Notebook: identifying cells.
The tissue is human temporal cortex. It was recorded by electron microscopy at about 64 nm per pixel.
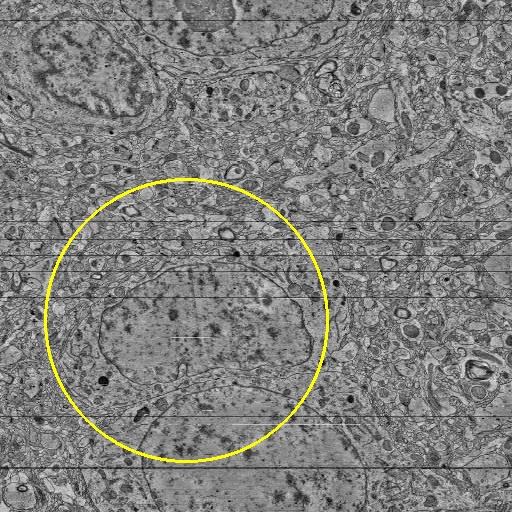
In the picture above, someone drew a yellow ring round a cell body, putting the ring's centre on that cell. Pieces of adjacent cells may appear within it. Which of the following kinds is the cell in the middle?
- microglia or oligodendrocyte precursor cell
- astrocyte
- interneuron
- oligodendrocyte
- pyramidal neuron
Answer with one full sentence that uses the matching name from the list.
In this picture, the yellow ring is centred on the body of a pyramidal neuron.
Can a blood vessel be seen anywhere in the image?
No, there is no blood vessel in the image.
